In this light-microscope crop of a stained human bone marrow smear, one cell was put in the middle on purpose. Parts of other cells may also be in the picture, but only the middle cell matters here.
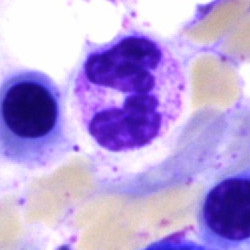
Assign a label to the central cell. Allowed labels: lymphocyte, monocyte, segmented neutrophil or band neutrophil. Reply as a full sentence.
This crop has a segmented neutrophil at its centre.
